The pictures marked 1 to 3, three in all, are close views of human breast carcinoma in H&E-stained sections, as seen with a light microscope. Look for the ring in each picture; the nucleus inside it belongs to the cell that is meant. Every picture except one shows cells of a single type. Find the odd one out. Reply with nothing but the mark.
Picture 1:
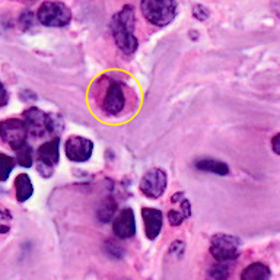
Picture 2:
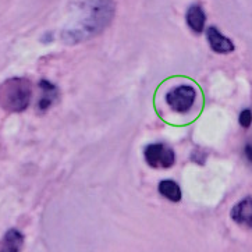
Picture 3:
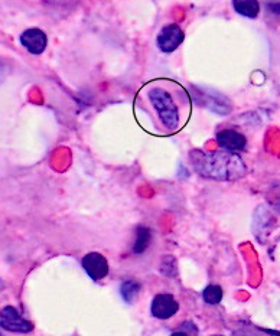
2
